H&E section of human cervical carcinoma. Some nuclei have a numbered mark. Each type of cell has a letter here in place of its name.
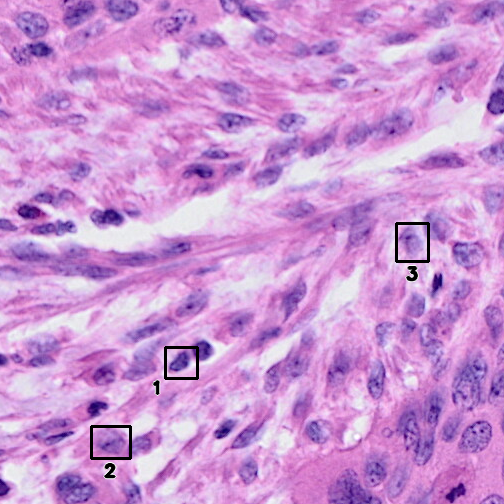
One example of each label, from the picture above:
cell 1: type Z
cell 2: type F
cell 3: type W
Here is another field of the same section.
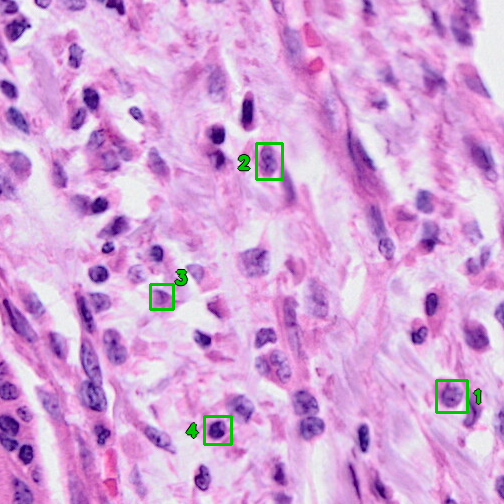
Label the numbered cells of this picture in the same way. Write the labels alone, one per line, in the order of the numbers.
type F
type F
type W
type Z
